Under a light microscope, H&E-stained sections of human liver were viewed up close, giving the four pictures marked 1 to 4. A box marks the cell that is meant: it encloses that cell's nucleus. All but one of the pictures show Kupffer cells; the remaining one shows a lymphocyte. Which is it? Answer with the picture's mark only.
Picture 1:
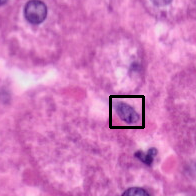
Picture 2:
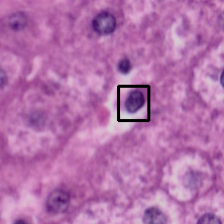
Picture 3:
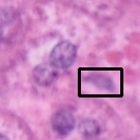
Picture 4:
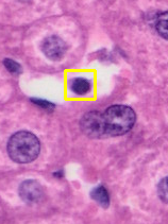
4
